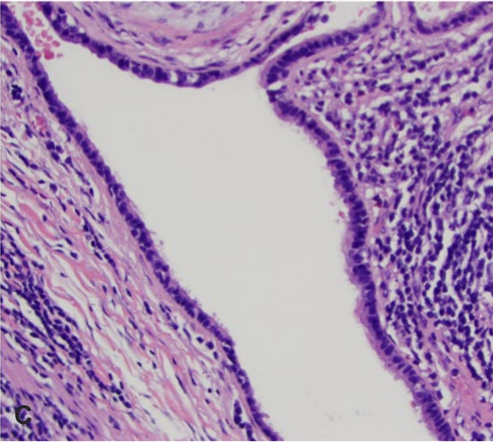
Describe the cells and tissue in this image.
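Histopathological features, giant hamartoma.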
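Entrapped ciliated respiratory epithelium lining clefts within the stroma of the lesion. A wide, empty lumen is bordered on both sides by a single layer of tall columnar cells with dark, elongated, crowded nuclei and a thin pink apical edge. To the right, the stroma beneath the lining is packed with small round cells with dark nuclei. To the left, looser stroma holds wavy pink collagen fibres with scattered spindle and round nuclei.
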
